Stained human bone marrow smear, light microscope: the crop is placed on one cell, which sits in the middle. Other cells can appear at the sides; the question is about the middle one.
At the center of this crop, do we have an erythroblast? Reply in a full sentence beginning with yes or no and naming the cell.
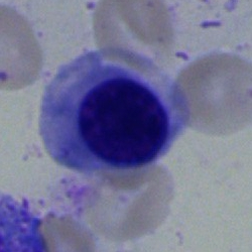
Yes, in this crop the cell in the middle is an erythroblast.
